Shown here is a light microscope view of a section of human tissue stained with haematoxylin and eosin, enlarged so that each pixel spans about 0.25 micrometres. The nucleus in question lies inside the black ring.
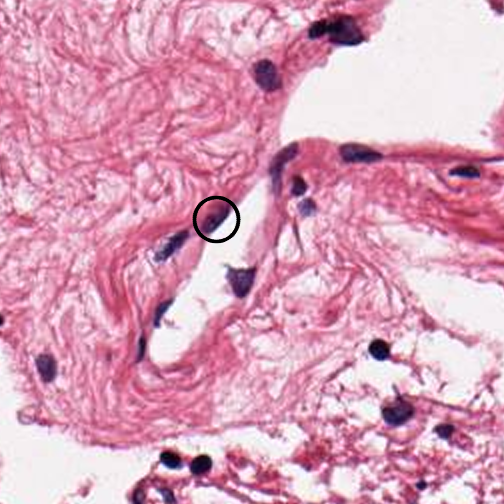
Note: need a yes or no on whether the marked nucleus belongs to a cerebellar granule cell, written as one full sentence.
No, not to a cerebellar granule cell does the marked nucleus belong, but to a supporting cell.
